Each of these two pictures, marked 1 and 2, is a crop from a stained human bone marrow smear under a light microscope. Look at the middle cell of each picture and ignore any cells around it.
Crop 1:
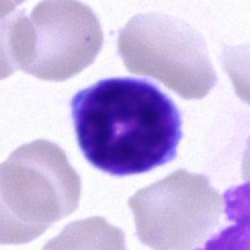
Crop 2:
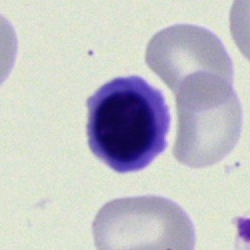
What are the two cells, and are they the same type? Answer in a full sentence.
No, at the centre of crop 1 is a lymphocyte, and at the centre of crop 2 is a normoblast.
